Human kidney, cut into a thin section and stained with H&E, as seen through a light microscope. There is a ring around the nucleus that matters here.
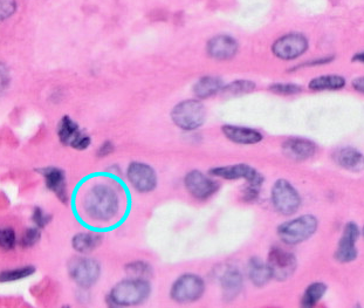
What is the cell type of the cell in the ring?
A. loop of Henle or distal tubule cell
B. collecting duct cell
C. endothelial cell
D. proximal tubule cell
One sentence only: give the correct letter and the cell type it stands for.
Looking at the options, pick B; the cell in the ring is a collecting duct cell.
